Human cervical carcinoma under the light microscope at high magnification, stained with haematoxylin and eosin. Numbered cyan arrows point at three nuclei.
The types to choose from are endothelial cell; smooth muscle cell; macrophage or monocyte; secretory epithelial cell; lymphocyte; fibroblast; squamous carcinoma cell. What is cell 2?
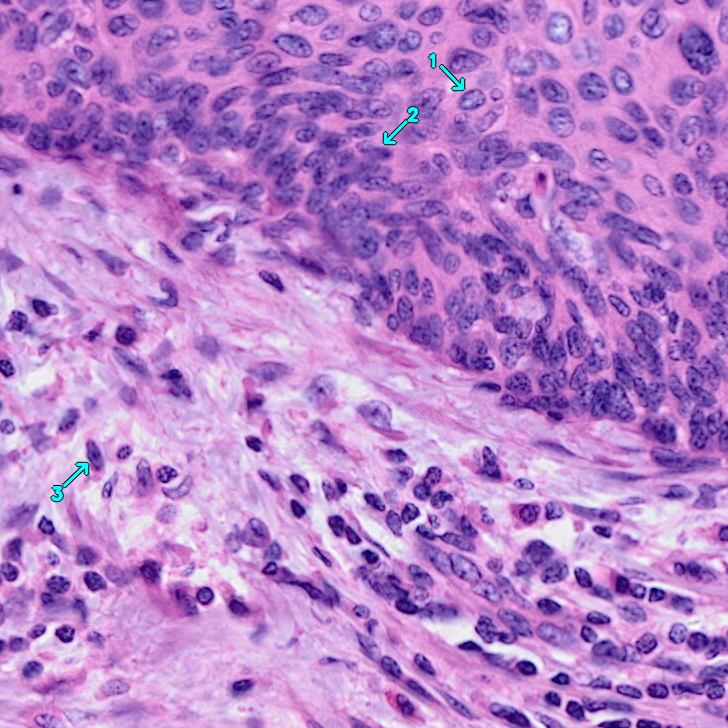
squamous carcinoma cell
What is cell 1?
squamous carcinoma cell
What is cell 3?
lymphocyte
